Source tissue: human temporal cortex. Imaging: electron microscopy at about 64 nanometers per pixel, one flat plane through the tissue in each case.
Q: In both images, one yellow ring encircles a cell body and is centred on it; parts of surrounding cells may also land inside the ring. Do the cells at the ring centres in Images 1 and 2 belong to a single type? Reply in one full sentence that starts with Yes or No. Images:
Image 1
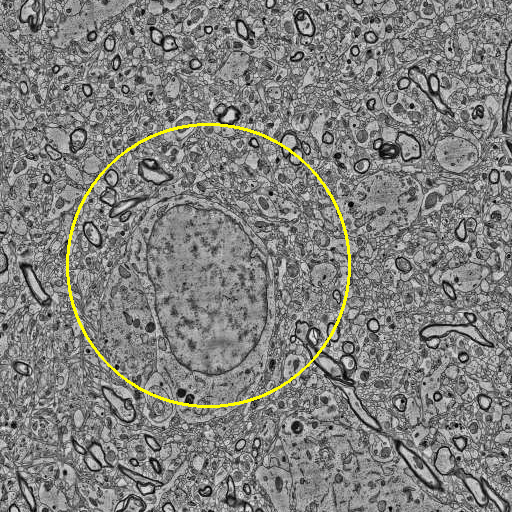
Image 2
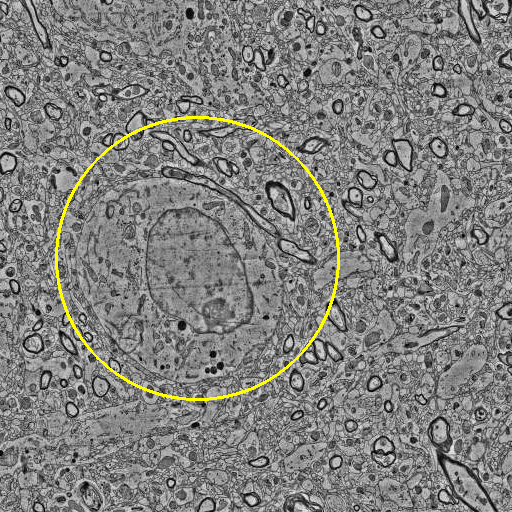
Yes, the cells at the ring centres in Images 1 and 2 are of a single type.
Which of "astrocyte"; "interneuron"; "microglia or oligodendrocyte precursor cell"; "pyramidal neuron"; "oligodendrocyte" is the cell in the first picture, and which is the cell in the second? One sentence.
In both pictures the ring is centred on a pyramidal neuron.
